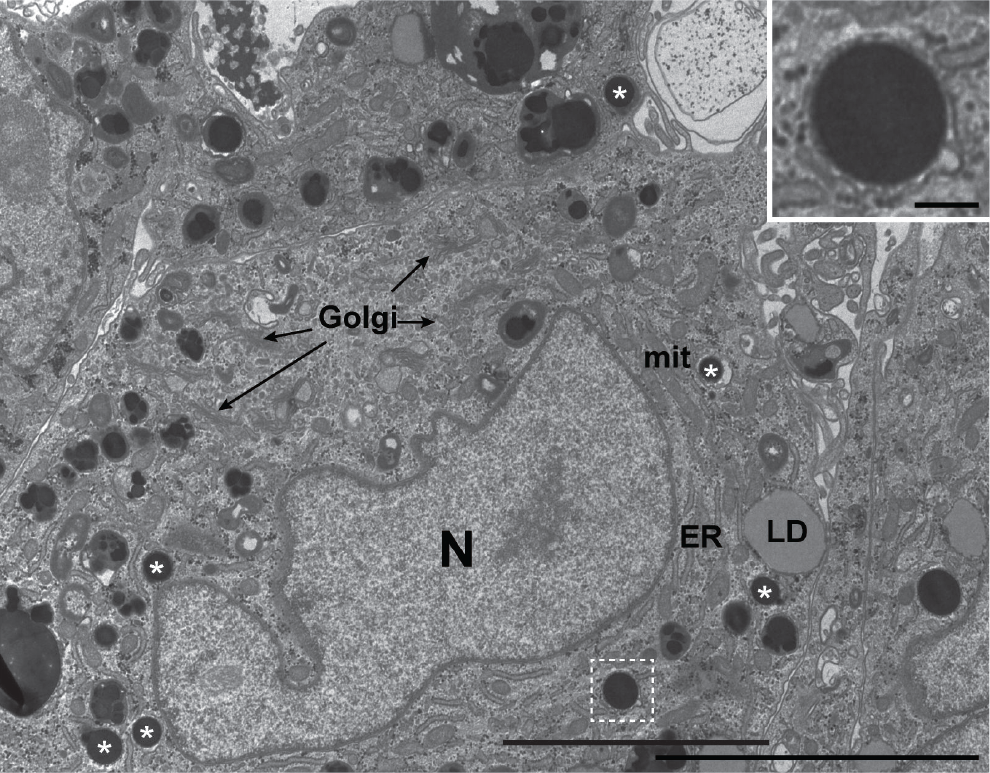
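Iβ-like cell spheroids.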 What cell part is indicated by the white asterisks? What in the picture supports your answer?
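Electron dense secretory vesicles. Small round dark granules are marked by the white asterisks. The granules lie scattered in the cytoplasm around the nucleus. Each granule is a round, membrane-bounded, uniformly dark body.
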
